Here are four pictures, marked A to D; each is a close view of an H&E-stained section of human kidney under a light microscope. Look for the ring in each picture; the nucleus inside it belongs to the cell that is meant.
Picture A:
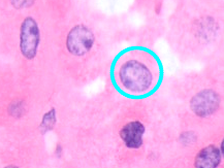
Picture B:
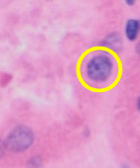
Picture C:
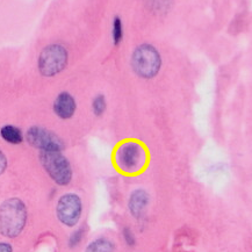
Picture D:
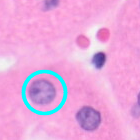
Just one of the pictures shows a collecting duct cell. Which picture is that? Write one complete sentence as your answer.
The collecting duct cell is the one in picture C.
